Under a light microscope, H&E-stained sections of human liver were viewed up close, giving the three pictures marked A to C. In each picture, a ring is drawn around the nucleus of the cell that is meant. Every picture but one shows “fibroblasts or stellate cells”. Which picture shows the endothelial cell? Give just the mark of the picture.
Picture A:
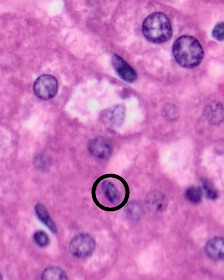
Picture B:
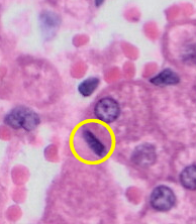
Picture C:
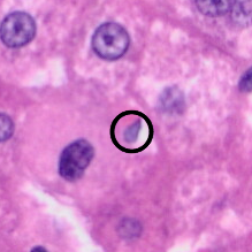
C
